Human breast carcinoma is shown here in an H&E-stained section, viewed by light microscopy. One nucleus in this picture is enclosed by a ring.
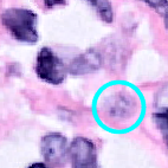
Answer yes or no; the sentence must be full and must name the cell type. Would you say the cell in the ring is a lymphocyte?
No, that's not it; the cell in the ring is a carcinoma cell rather than a lymphocyte.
